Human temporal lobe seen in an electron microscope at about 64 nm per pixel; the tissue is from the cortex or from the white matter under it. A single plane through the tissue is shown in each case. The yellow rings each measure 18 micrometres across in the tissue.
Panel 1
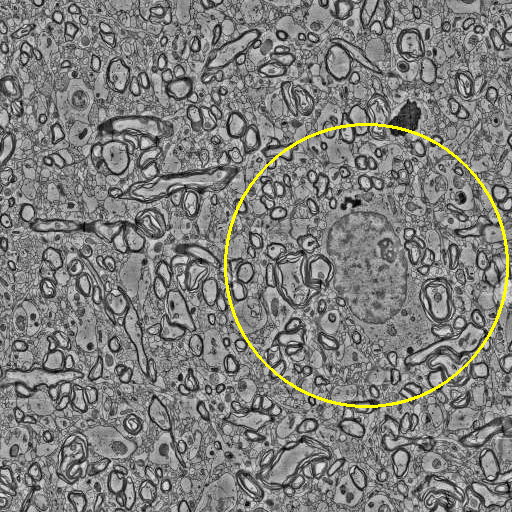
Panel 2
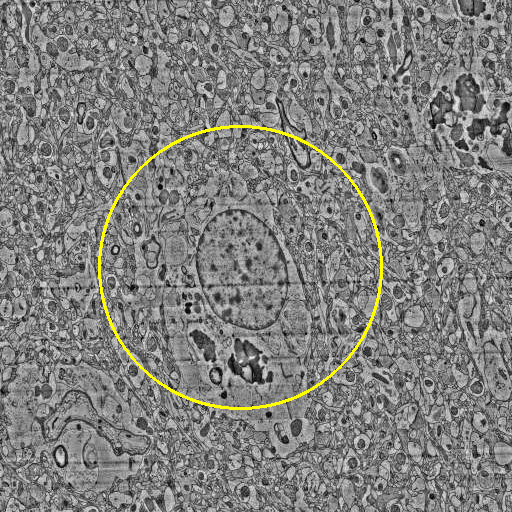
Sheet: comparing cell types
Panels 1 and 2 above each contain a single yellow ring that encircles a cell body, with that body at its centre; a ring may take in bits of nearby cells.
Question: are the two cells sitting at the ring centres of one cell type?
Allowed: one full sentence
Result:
No, the ring-centre cells in Panel 1 and Panel 2 are of two types.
